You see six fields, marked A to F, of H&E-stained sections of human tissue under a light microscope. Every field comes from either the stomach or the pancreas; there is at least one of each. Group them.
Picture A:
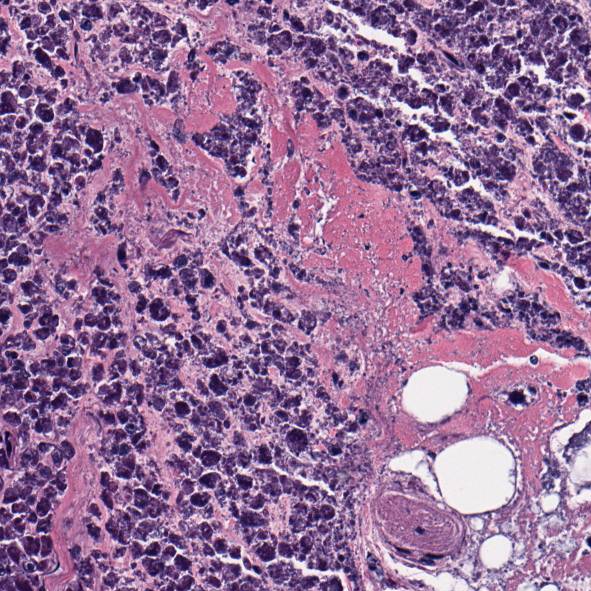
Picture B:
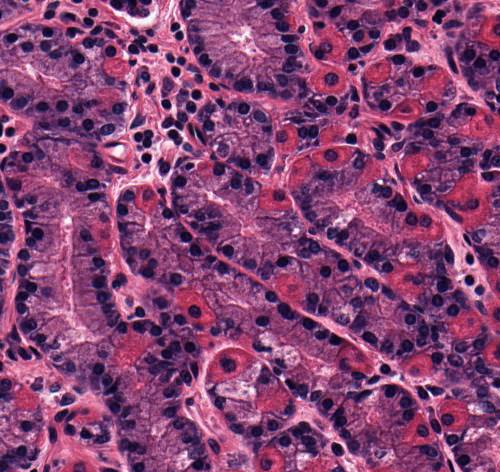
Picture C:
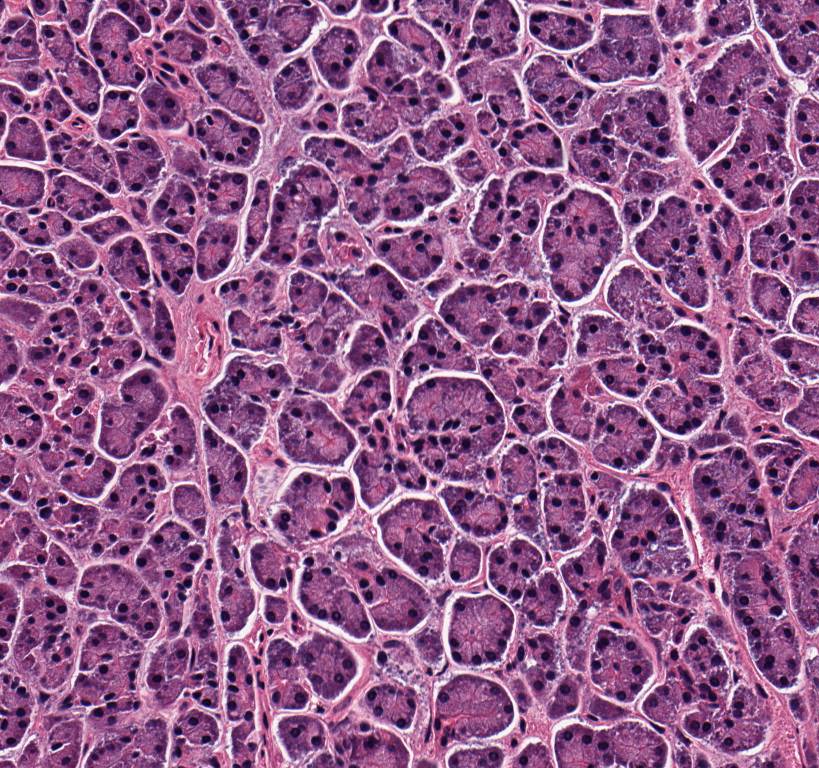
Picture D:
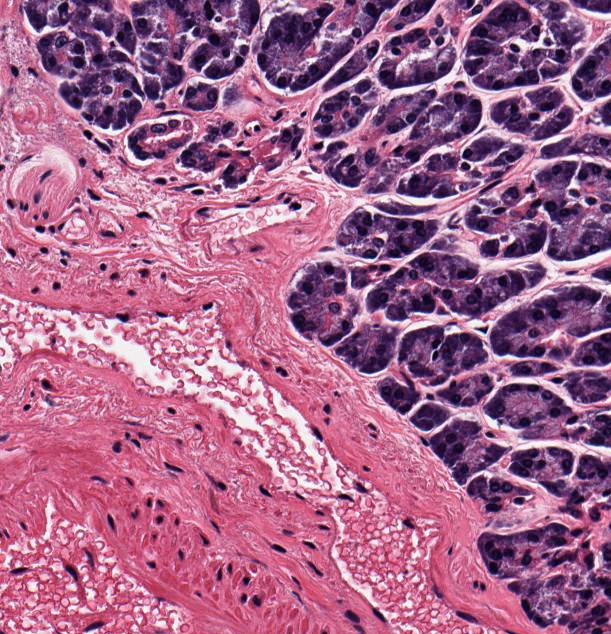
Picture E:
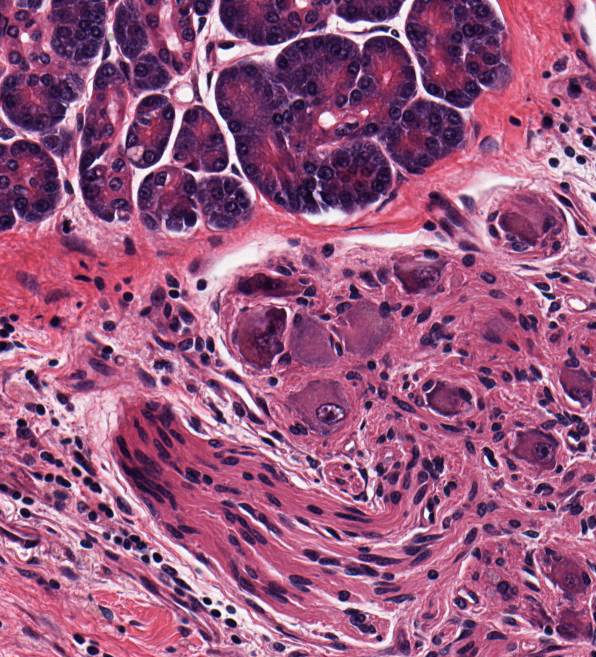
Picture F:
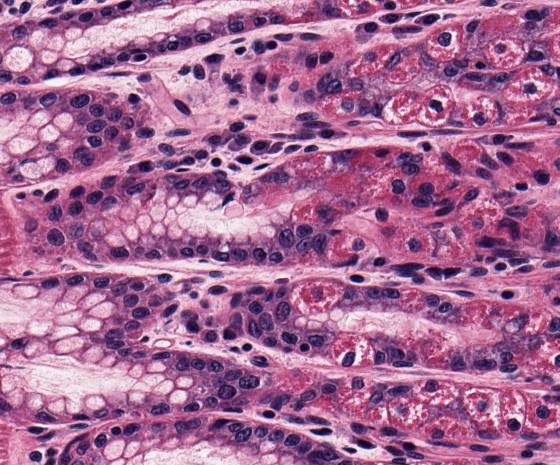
A: pancreas
B: stomach
C: pancreas
D: pancreas
E: pancreas
F: stomach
